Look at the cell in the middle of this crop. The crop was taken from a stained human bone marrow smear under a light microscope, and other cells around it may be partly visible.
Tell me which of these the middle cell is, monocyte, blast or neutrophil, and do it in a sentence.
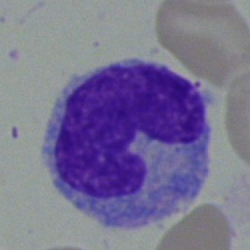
This crop has a monocyte at its centre.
